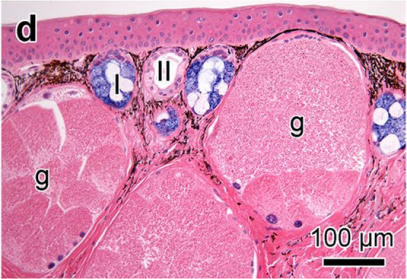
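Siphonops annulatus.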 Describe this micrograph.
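Caecilian skin with mucous and poison glands in the dermis. A stratified epidermis of pink cells with small dark nuclei covers the surface. Immediately beneath it, a band of dense brown-black pigment surrounds the glands. Small round mucous glands lie just under the epidermis, their cells filled with blue-purple mucus; a paler small gland sits between them. Much larger round poison glands below are packed with fine pink granular secretion, bordered by a thin wall with a few flattened peripheral nuclei, and separated from each other by thin pigmented connective septa.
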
